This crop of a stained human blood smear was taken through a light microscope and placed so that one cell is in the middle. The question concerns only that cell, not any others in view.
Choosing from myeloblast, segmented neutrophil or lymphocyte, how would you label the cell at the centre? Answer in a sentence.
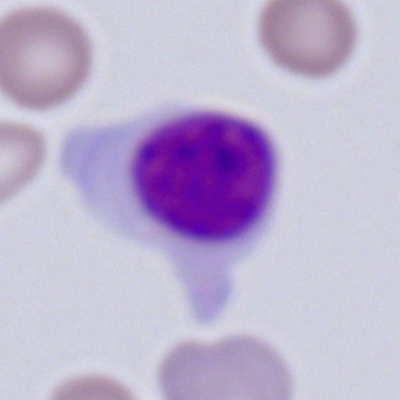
In the central position of this crop, the cell is a lymphocyte.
